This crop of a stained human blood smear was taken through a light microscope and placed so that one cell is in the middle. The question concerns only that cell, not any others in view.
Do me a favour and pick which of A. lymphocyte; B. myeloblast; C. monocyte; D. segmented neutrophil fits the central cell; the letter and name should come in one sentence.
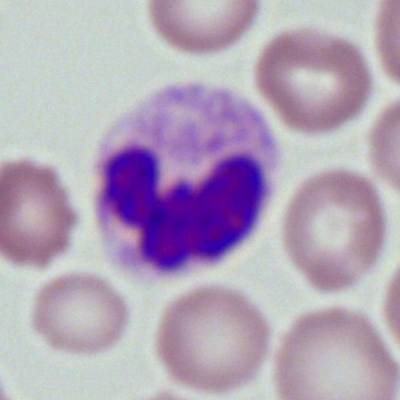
Option D gives the correct identity of the central cell, namely a segmented neutrophil.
